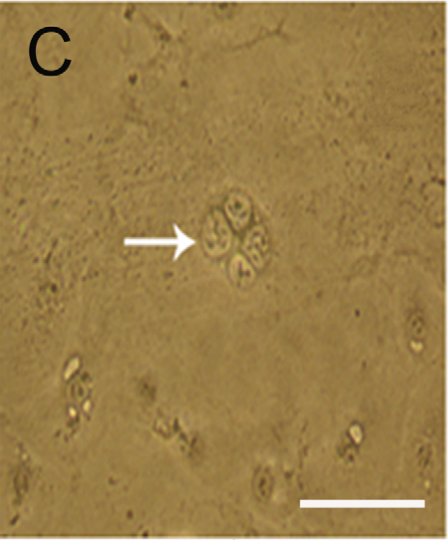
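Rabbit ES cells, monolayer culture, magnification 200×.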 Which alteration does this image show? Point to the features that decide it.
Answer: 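A rounded cell mass at the centre contains several round nucleus-like bodies. Other scattered cells contain granular inclusions. That points to this answer: Multinucleated cells.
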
